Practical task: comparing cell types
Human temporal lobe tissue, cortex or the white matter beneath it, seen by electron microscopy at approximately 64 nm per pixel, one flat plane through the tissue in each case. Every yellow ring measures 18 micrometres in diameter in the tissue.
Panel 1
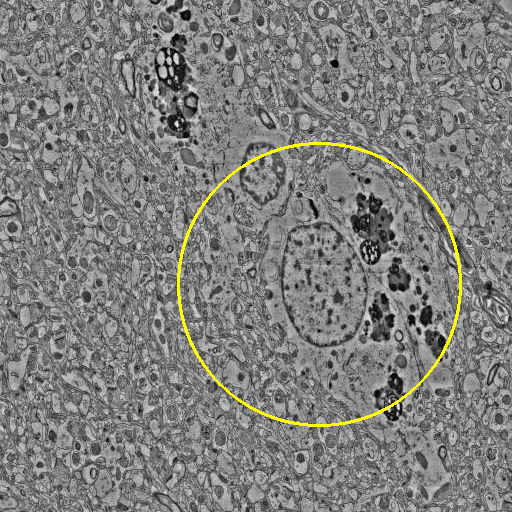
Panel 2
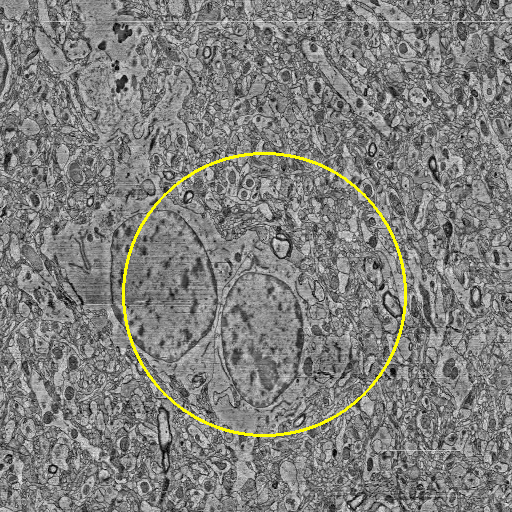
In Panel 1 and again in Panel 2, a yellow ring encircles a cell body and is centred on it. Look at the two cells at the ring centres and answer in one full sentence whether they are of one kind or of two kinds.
The two cells sitting at the ring centres of Panels 1 and 2 are of one kind.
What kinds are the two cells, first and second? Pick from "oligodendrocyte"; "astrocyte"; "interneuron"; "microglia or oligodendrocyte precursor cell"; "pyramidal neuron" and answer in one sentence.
In the first picture and in the second, the ring is centred on an astrocyte.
